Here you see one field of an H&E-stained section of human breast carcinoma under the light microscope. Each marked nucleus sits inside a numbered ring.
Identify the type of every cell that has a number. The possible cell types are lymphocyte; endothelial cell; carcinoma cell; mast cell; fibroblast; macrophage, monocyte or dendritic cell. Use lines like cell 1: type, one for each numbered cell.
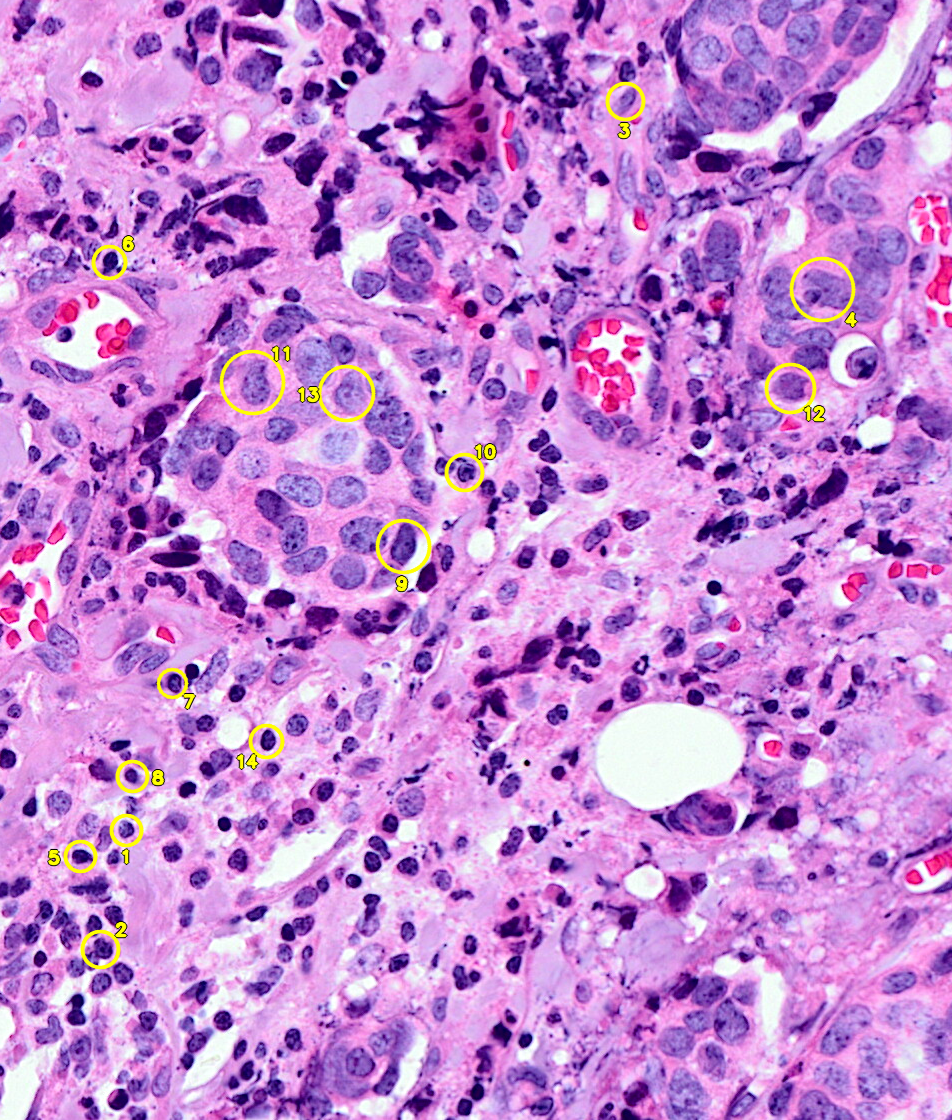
cell 1: lymphocyte
cell 2: lymphocyte
cell 3: endothelial cell
cell 4: carcinoma cell
cell 5: lymphocyte
cell 6: lymphocyte
cell 7: lymphocyte
cell 8: lymphocyte
cell 9: carcinoma cell
cell 10: lymphocyte
cell 11: carcinoma cell
cell 12: carcinoma cell
cell 13: carcinoma cell
cell 14: lymphocyte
